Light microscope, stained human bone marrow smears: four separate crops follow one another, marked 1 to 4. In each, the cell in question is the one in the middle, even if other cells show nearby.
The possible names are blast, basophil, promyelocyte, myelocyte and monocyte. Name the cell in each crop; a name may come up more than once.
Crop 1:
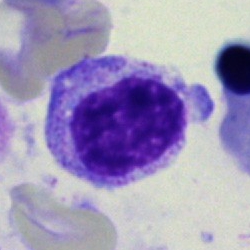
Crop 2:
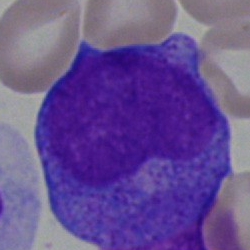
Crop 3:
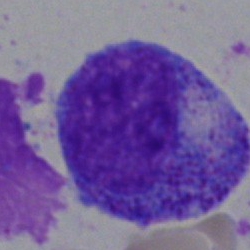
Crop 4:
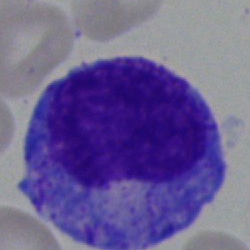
1: myelocyte
2: promyelocyte
3: promyelocyte
4: promyelocyte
